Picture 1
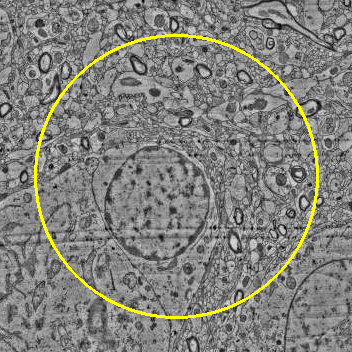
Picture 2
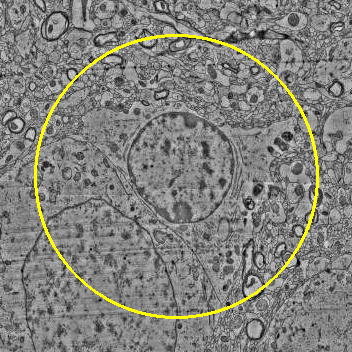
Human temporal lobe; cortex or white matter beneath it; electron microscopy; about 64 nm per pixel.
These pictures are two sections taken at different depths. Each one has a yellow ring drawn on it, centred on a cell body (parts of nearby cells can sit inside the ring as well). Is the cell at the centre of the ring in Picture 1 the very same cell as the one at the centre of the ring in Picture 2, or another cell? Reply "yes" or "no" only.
yes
